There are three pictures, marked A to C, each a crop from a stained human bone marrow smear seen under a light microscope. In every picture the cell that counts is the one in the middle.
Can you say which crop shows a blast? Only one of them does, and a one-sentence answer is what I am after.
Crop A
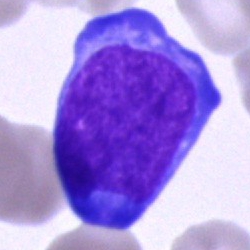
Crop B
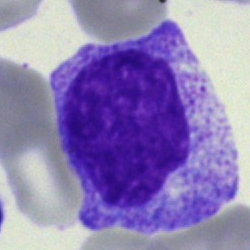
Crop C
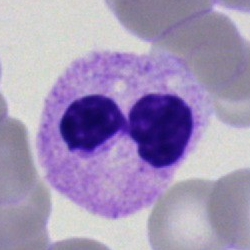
Crop A is the one in this set that shows a blast.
